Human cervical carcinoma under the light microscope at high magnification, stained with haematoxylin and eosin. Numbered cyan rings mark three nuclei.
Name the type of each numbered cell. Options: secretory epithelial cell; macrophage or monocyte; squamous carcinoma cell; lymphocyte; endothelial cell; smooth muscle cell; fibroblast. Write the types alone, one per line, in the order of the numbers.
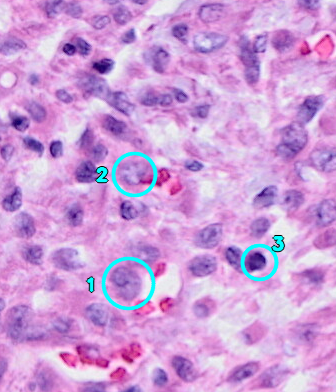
endothelial cell
endothelial cell
lymphocyte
